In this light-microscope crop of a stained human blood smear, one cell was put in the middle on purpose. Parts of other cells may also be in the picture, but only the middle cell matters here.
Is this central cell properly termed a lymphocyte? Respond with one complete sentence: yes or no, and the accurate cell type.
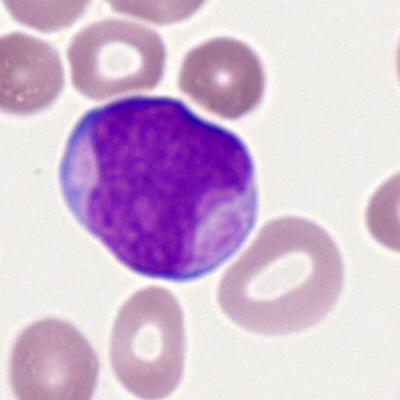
No, the cell sitting in the middle is a myeloblast, and it is not a lymphocyte.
